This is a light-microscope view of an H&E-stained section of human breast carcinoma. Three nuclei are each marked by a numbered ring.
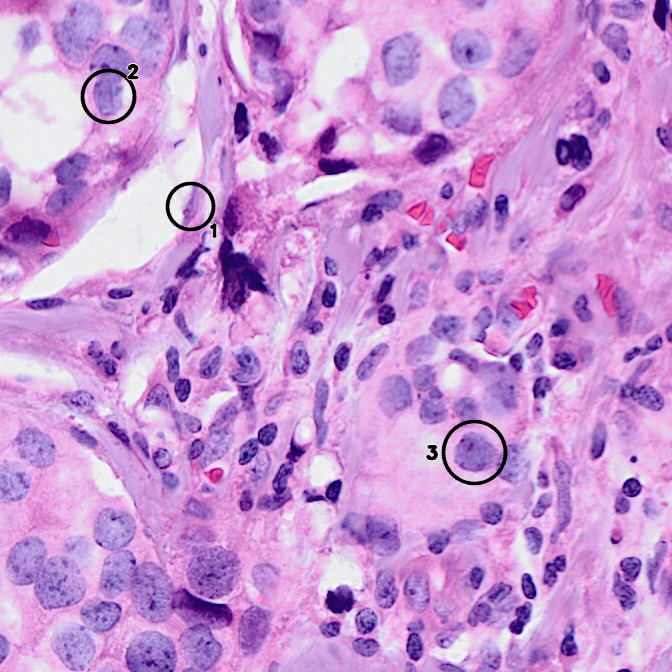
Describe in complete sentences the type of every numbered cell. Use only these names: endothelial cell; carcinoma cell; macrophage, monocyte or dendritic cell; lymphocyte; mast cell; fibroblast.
Cell 1 is a fibroblast. Cells 2 and 3 are carcinoma cells.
